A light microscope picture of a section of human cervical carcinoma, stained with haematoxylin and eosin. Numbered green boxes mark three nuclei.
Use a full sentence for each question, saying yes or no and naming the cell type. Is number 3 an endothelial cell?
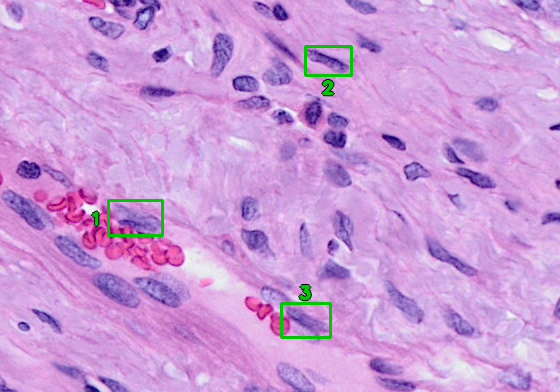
Yes, as for number 3, the cell is an endothelial cell.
